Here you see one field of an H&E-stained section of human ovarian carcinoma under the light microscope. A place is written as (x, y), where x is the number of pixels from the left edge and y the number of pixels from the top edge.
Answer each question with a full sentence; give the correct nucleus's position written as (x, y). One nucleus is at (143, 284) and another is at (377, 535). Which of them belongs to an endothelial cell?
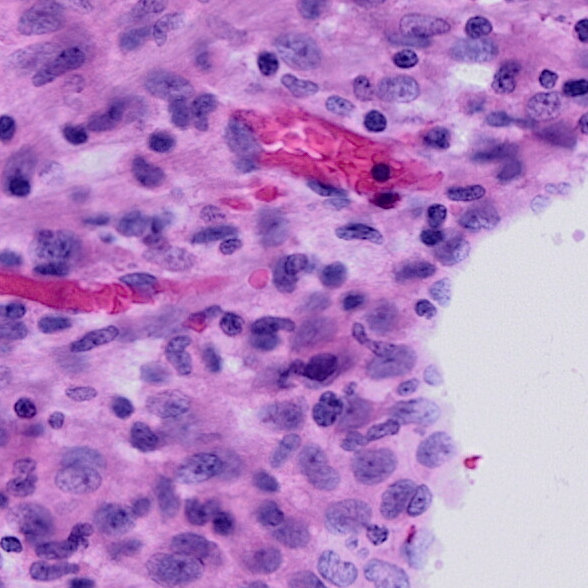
The nucleus that sits at (143, 284) is the nucleus of an endothelial cell.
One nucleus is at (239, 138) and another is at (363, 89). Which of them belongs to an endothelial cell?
The nucleus that belongs to an endothelial cell is located at (239, 138).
